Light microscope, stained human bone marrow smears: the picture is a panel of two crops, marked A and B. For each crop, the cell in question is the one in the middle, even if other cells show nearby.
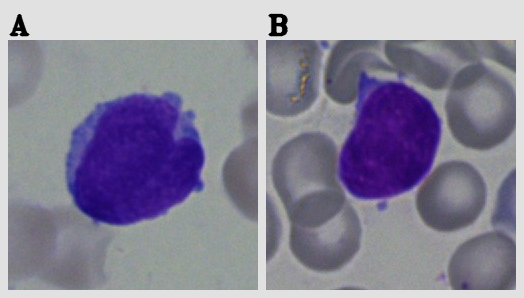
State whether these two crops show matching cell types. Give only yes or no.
no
